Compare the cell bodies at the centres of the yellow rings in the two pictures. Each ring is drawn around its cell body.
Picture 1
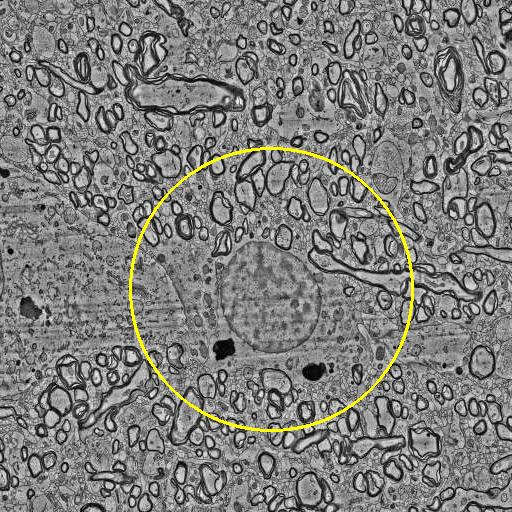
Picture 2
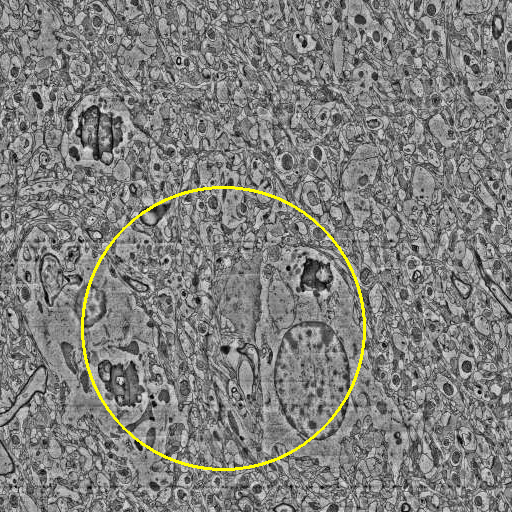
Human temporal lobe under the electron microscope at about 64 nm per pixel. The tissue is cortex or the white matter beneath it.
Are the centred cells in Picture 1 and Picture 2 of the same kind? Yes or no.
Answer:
no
